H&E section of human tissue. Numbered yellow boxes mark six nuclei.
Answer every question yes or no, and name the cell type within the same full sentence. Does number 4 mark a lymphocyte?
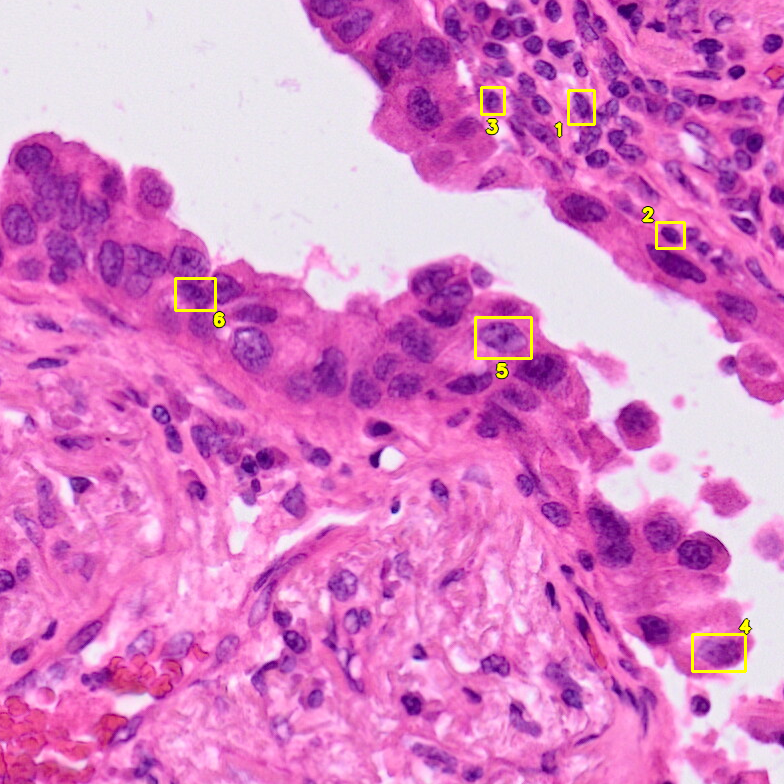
No, it is a carcinoma cell that is marked with number 4, not a lymphocyte.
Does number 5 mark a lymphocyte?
No, the cell at marker 5 is not a lymphocyte; it is a carcinoma cell.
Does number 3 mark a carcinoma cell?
No, that is wrong: cell 3 is a lymphocyte, and not a carcinoma cell.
